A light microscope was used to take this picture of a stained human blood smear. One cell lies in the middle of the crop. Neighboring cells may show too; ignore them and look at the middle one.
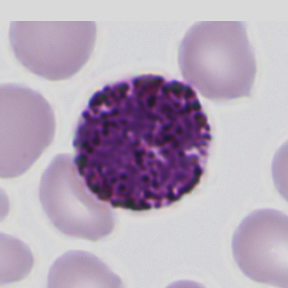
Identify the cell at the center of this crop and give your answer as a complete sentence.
Framed in the middle of the crop is a basophil.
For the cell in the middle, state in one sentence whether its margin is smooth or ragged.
Its outline is smooth, with no projections anywhere along the edge.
